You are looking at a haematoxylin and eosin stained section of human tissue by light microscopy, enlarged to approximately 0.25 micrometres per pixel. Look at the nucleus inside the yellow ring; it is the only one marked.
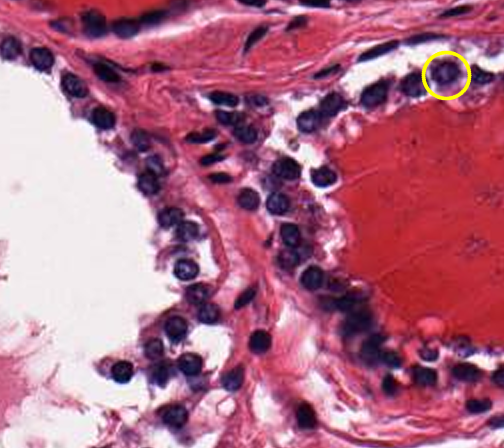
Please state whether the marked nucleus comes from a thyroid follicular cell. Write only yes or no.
yes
